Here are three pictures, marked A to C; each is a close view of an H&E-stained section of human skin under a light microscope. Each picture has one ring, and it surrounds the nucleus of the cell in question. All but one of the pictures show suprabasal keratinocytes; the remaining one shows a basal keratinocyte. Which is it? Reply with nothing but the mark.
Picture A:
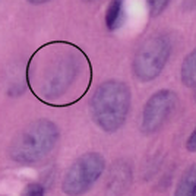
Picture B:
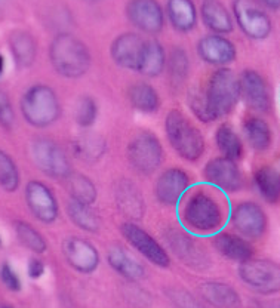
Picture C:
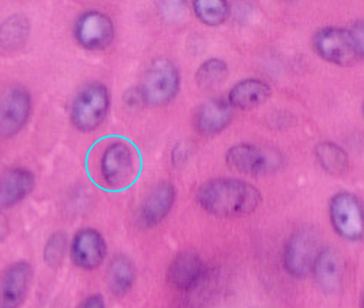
B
